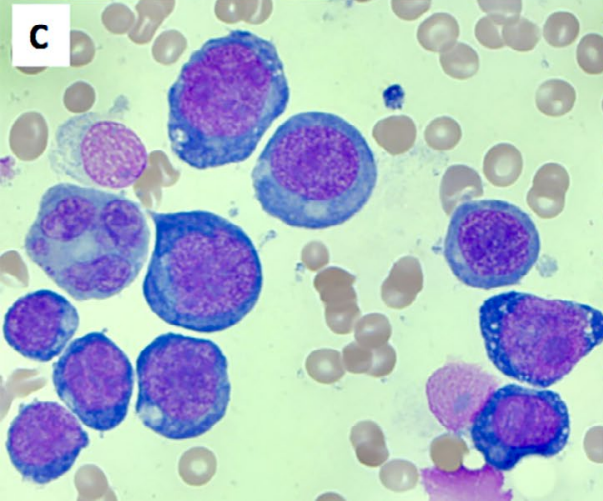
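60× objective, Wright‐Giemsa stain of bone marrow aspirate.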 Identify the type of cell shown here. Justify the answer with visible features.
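Large round cells with round nuclei. Deep blue cytoplasm, darker at the cell edge. Small clear vacuoles in the cytoplasm of some cells. That points to this answer: proerythroblasts.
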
